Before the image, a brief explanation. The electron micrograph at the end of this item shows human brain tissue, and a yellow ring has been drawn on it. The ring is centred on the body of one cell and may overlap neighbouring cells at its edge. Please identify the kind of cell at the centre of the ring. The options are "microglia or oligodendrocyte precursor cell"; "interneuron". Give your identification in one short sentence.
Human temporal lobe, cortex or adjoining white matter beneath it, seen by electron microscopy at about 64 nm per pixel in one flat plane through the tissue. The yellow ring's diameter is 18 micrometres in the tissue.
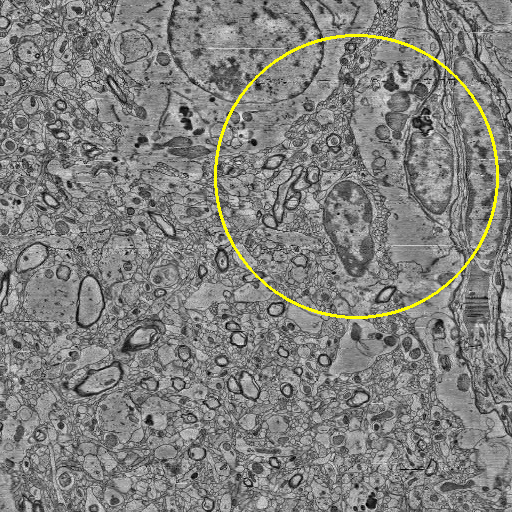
The ring has been placed around a microglial cell or oligodendrocyte precursor cell.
